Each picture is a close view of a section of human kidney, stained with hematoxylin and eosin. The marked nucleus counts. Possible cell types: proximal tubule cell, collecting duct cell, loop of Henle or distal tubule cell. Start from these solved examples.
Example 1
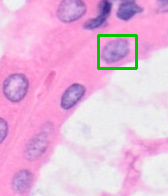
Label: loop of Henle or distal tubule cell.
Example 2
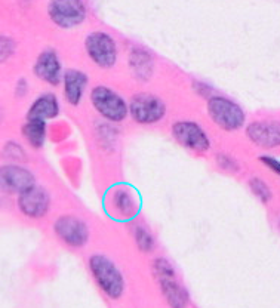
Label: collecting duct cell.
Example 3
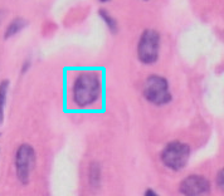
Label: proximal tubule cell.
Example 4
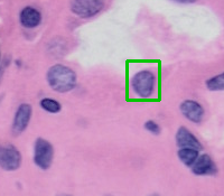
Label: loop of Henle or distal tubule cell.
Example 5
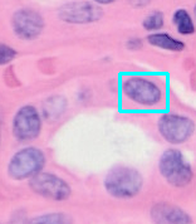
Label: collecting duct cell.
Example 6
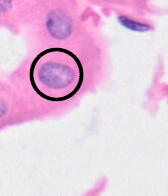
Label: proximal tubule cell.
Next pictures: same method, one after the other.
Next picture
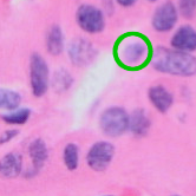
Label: collecting duct cell.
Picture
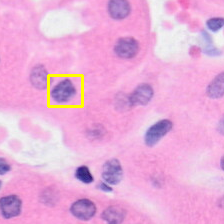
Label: proximal tubule cell.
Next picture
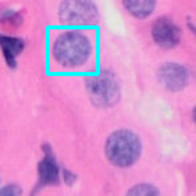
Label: collecting duct cell.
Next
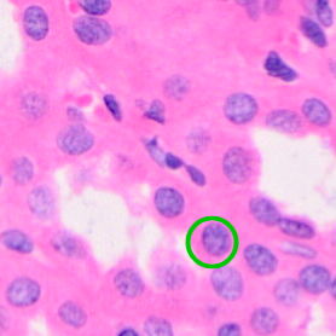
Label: loop of Henle or distal tubule cell.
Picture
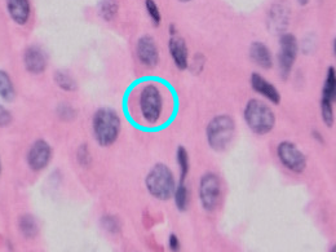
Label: loop of Henle or distal tubule cell.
